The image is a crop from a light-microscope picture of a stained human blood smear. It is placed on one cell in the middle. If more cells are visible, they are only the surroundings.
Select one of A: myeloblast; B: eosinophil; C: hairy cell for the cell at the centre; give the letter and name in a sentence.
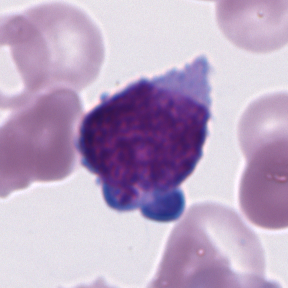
Option A is the correct selection, for the cell at the centre is a myeloblast.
